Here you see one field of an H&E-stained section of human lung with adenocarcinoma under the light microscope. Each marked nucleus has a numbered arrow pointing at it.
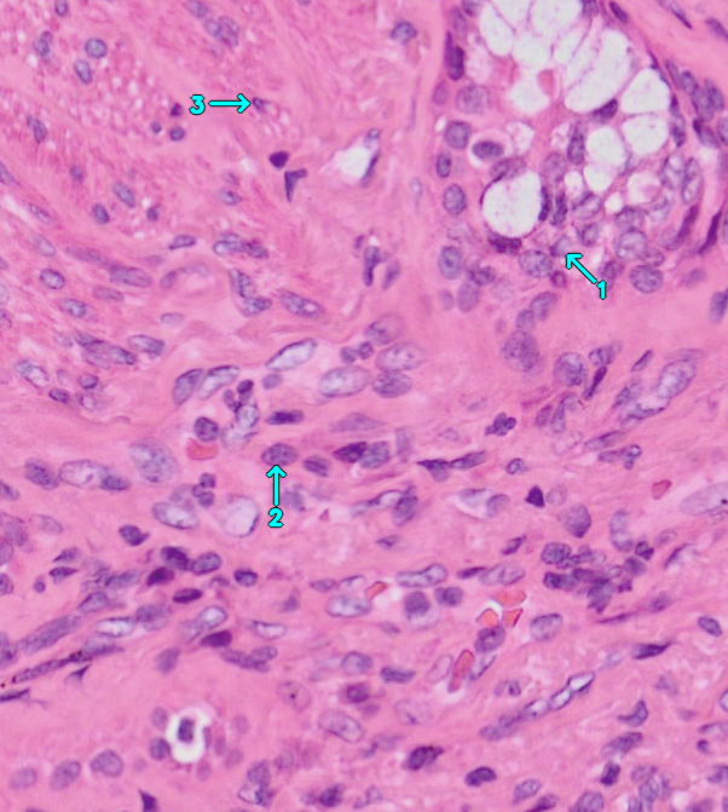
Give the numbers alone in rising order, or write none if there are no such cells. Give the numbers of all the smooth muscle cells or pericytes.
3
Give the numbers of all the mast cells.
2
